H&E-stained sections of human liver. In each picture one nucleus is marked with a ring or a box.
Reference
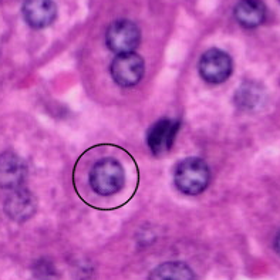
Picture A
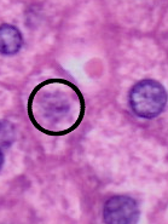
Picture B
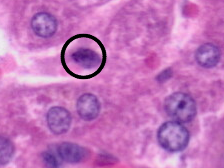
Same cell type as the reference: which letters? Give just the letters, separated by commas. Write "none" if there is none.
A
